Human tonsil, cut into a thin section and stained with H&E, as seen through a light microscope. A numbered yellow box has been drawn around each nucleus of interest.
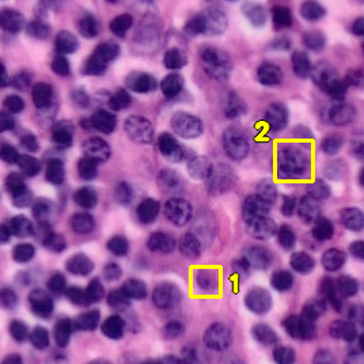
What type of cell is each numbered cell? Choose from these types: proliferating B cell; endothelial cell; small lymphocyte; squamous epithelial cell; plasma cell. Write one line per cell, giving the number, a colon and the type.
1: endothelial cell
2: plasma cell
